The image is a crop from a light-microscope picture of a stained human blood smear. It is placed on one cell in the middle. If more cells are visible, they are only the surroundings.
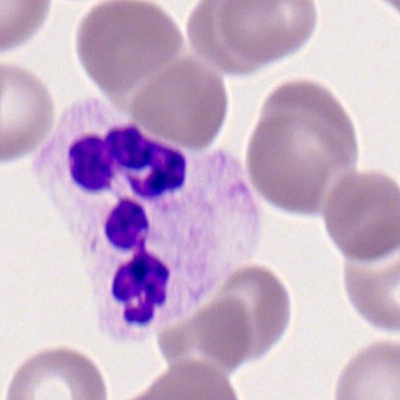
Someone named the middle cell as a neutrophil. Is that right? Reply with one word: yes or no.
yes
